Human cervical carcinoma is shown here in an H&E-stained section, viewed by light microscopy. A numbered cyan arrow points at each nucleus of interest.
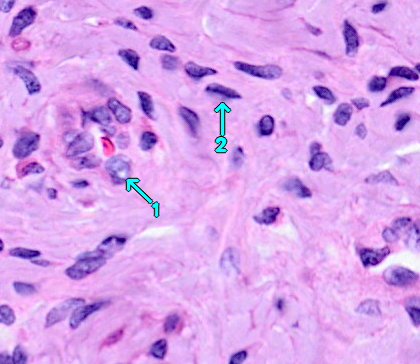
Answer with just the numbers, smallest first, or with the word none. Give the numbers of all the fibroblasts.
2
